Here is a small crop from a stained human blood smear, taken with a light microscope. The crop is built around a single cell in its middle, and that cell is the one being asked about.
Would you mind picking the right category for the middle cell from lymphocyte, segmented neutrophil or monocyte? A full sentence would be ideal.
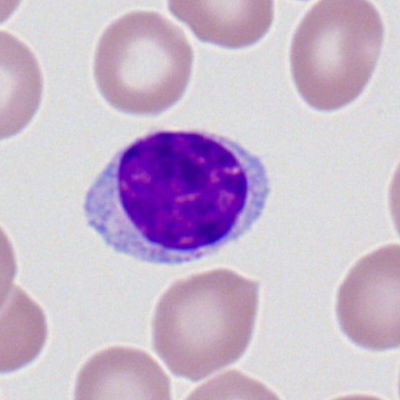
The cell at the heart of this crop is a lymphocyte.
